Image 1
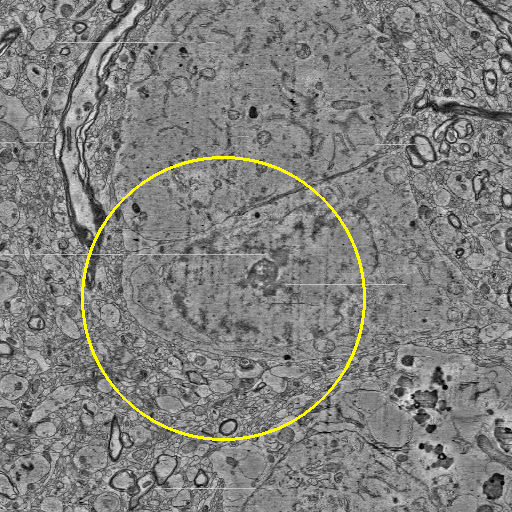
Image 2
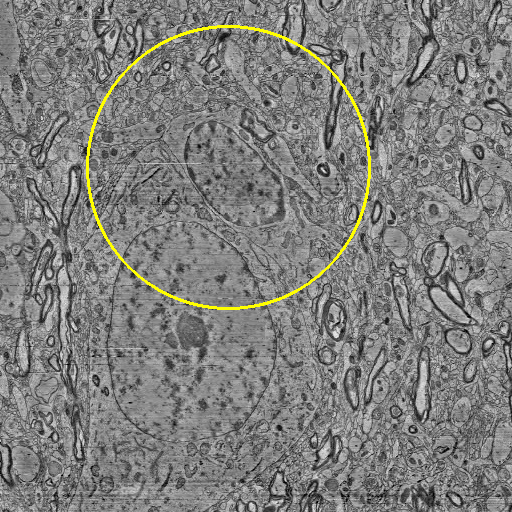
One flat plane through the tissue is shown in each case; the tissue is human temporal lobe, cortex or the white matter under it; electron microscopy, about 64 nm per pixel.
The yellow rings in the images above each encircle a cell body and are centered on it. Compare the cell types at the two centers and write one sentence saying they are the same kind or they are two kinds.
Taken together, the two cells at the ring centers are two kinds.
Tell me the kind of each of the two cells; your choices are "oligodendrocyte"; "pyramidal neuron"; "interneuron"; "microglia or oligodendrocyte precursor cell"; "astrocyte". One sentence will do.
The ringed cell is an interneuron in the first picture and a microglial cell or oligodendrocyte precursor cell in the second picture.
